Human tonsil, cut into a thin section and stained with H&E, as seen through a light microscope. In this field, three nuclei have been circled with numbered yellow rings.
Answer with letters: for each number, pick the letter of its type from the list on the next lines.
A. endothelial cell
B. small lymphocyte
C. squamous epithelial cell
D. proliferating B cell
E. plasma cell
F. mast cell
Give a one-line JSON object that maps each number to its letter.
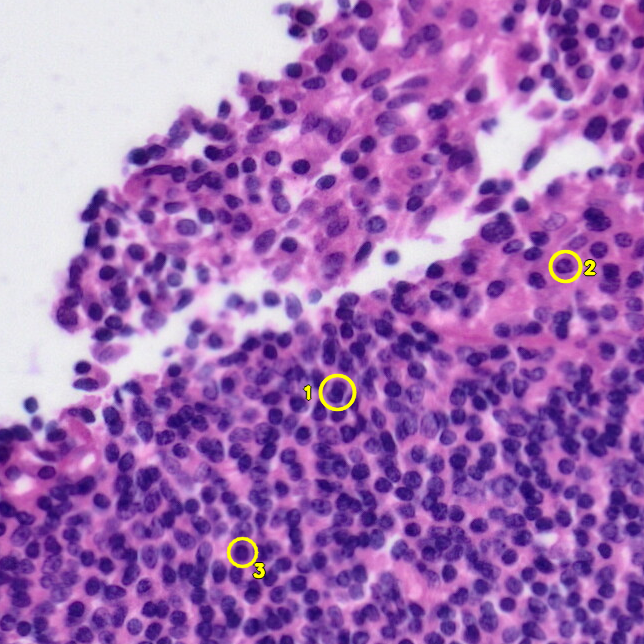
{"1": "B", "2": "E", "3": "B"}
